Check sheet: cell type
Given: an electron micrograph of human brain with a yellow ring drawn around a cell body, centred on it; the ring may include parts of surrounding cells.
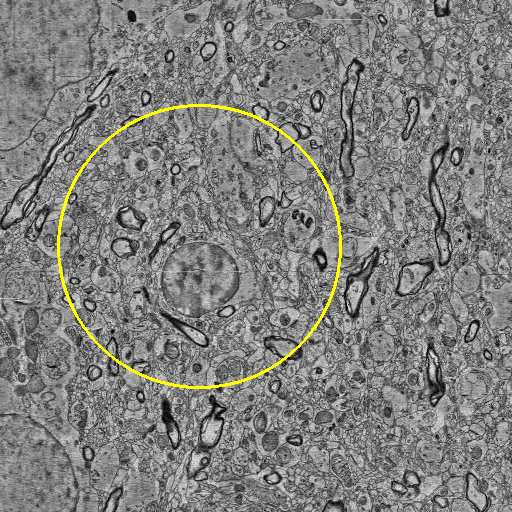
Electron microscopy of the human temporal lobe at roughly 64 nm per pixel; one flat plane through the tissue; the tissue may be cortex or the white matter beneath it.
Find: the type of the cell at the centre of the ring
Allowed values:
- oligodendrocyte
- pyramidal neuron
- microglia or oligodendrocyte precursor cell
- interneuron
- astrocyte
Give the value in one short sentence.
Here the ringed cell is a microglial cell or oligodendrocyte precursor cell.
